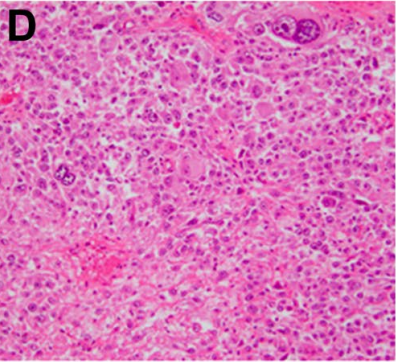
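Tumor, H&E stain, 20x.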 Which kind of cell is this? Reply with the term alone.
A: Malignant epithelioid cells.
